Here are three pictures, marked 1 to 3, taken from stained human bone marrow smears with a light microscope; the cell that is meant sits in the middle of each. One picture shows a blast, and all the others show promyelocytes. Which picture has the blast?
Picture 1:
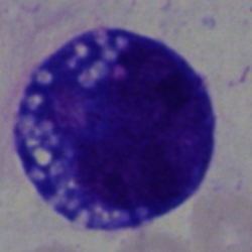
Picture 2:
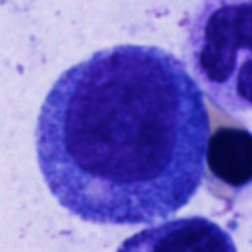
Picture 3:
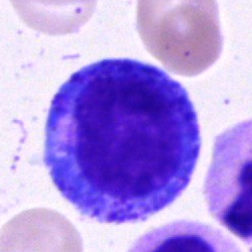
1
